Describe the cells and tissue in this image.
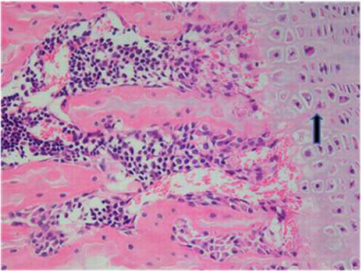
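On the right is pale lilac cartilage in which chondrocytes sit in clear lacunae, stacked in columns; on the left, bands of pink-staining bone matrix alternate with spaces packed with small, dark purple nuclei of marrow cells and some red blood cells. The columns of chondrocytes at the cartilage edge, where the arrow points, mark the chondrocyte proliferative zone bordering the underlying bone and marrow.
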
